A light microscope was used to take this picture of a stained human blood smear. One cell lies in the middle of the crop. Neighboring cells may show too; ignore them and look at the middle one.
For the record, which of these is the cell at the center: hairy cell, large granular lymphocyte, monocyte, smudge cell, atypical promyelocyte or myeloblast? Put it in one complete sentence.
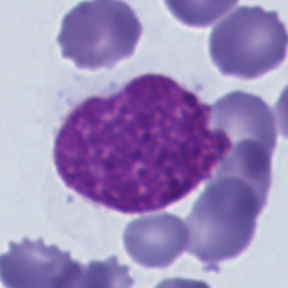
The cell of interest, in the center, is a smudge cell.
